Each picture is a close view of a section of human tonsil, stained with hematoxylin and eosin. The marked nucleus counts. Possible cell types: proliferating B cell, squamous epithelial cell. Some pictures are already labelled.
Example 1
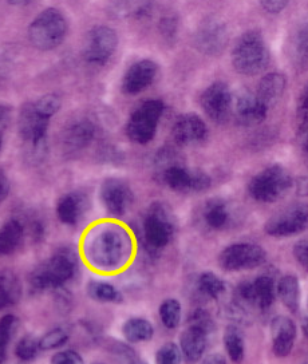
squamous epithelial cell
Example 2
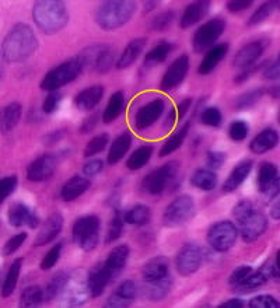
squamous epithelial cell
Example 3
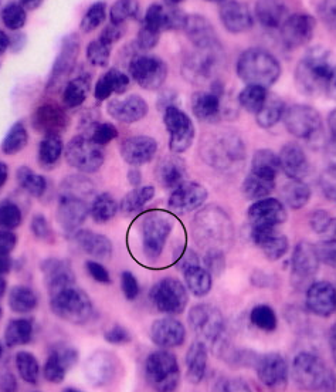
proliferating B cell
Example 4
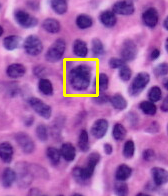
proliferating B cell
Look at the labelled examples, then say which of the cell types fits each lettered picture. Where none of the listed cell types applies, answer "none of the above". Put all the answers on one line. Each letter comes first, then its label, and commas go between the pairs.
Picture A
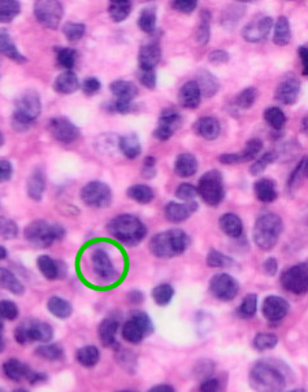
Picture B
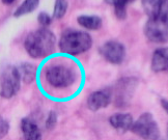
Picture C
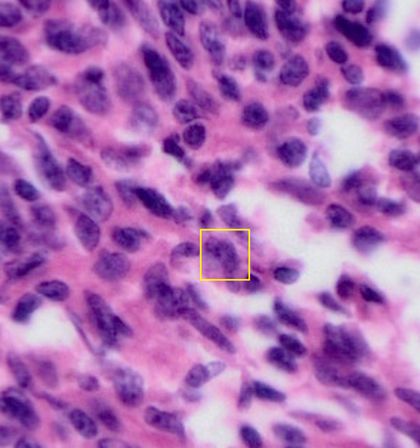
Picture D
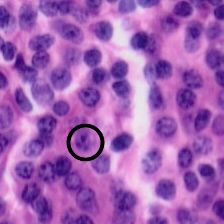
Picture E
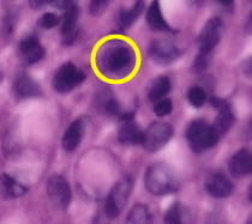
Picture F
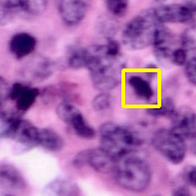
A proliferating B cell, B proliferating B cell, C proliferating B cell, D none of the above, E squamous epithelial cell, F proliferating B cell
